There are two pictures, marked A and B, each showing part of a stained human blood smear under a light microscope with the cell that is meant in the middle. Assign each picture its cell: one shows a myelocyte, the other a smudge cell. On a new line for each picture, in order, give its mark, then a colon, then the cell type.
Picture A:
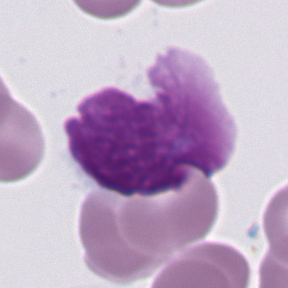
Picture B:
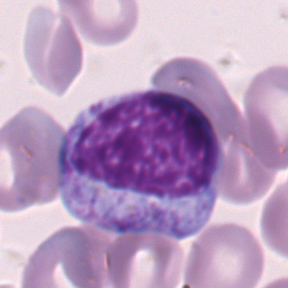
A: smudge cell
B: myelocyte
